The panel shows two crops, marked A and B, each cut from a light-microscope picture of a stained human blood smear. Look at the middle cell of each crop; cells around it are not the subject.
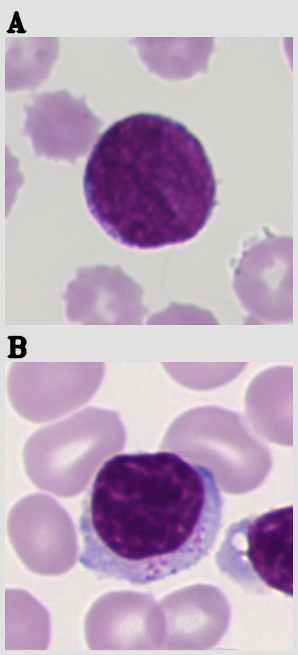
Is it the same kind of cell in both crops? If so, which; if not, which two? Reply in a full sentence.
No, a myeloblast is in crop A, while a large granular lymphocyte is in crop B.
